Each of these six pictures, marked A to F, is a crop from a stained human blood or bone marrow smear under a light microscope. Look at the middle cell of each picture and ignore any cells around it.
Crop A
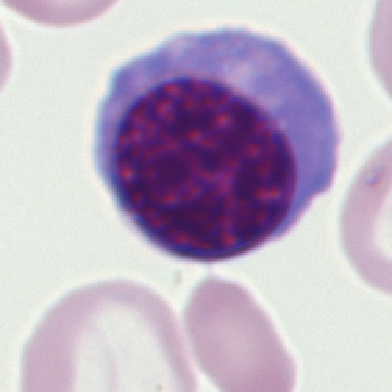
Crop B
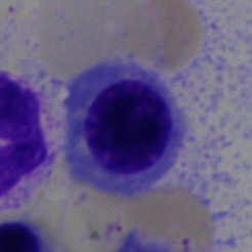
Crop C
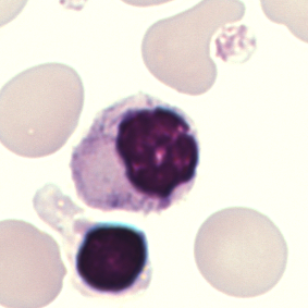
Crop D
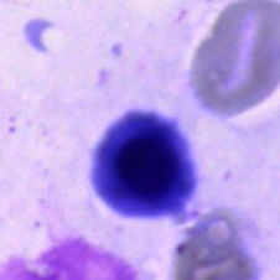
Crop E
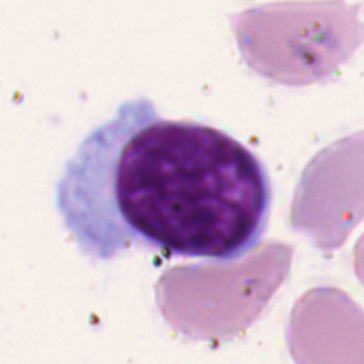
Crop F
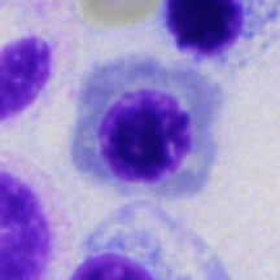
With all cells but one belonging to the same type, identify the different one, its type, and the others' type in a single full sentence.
Apart from crop E, which shows a plasma cell, every crop shows erythroblasts.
